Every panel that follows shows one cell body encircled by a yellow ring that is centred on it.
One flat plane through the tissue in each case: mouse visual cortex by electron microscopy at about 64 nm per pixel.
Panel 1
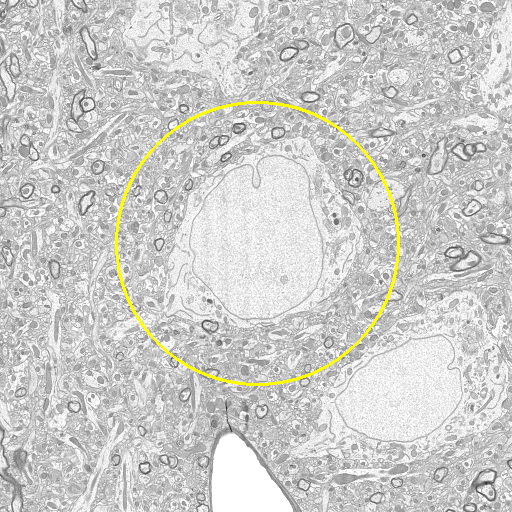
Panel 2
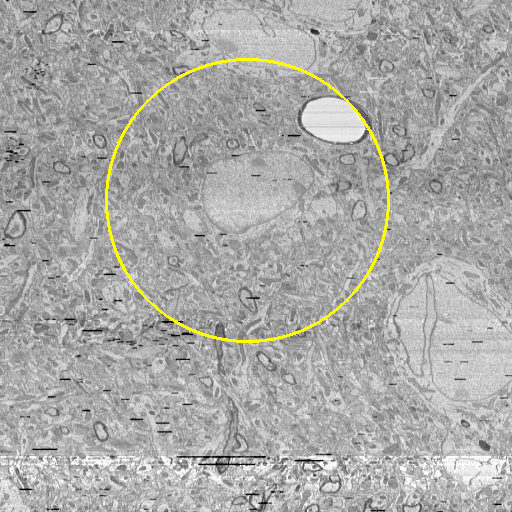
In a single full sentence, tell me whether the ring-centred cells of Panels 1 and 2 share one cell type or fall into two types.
In Panel 1 and Panel 2, the cells at the ring centres fall into two types.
